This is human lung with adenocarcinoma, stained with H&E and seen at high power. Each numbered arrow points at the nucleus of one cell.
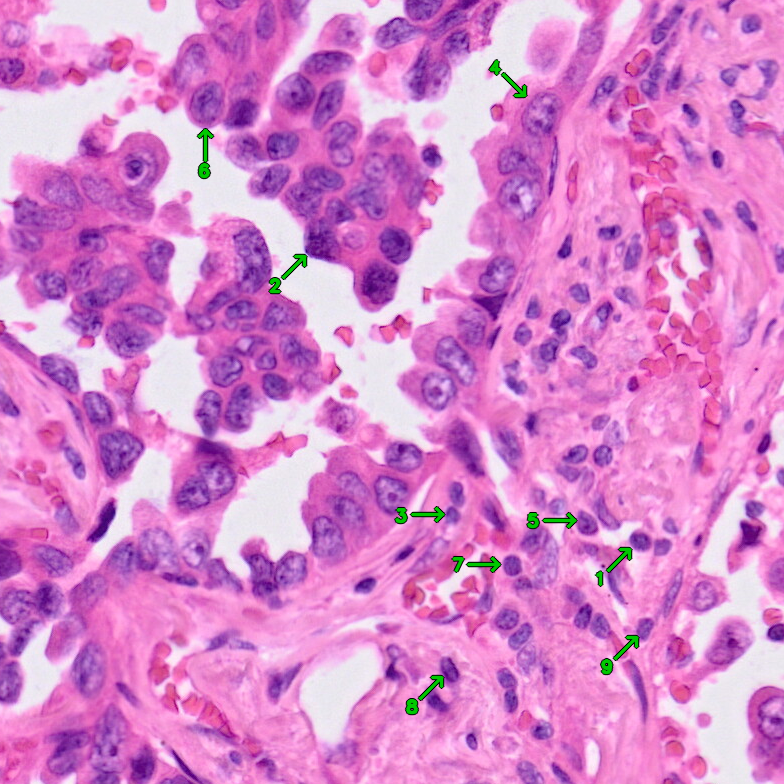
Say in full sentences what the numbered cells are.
Cell 1 is a lymphocyte, cell 2 is a carcinoma cell, cell 3 is a lymphocyte, cell 4 is a carcinoma cell, cell 5 is a lymphocyte, cell 6 is a carcinoma cell, cell 7 is a lymphocyte, cell 8 is a plasma cell and cell 9 is a lymphocyte.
